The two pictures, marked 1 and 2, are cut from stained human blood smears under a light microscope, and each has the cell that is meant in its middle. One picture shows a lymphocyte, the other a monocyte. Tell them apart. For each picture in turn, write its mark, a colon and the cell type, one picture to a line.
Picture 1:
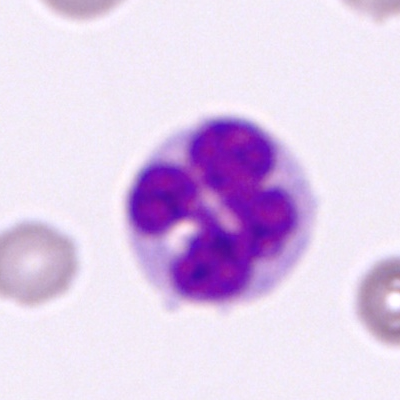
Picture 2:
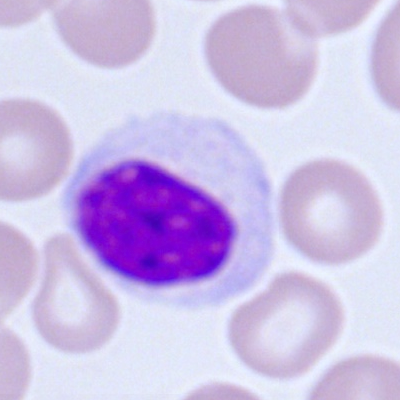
1: monocyte
2: lymphocyte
